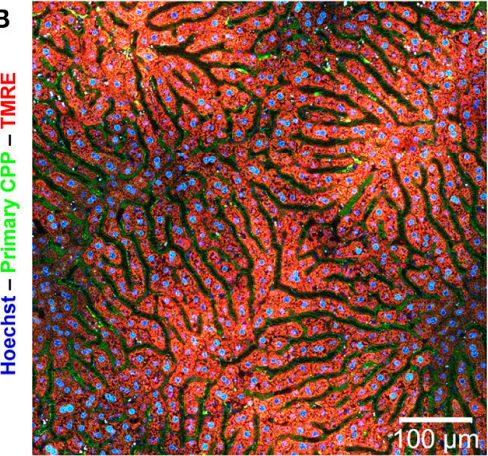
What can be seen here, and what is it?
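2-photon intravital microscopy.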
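An overview of a sector of a liver lobule, with cords of red hepatocytes carrying round blue nuclei. Dark sinusoids run between the cords and radiate toward focal points, and scattered small green spots lie along the sinusoids.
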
